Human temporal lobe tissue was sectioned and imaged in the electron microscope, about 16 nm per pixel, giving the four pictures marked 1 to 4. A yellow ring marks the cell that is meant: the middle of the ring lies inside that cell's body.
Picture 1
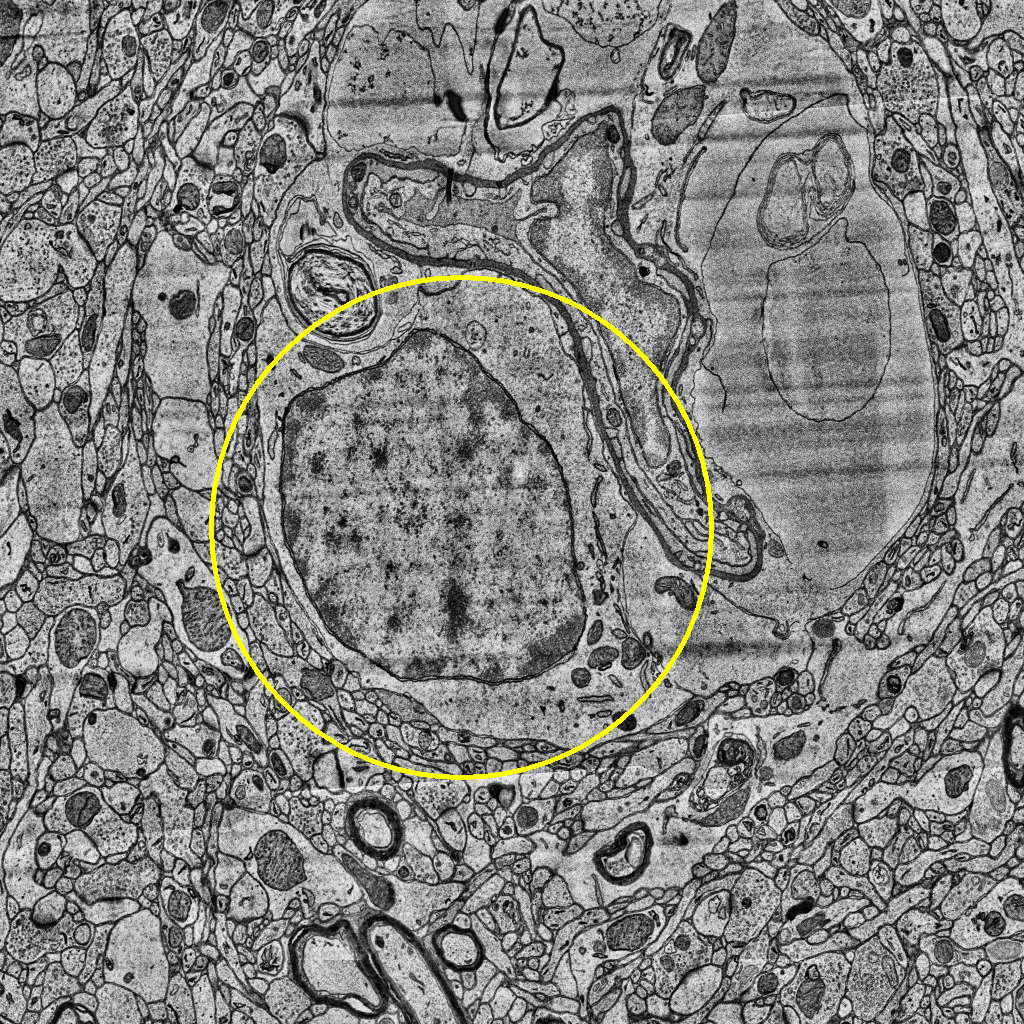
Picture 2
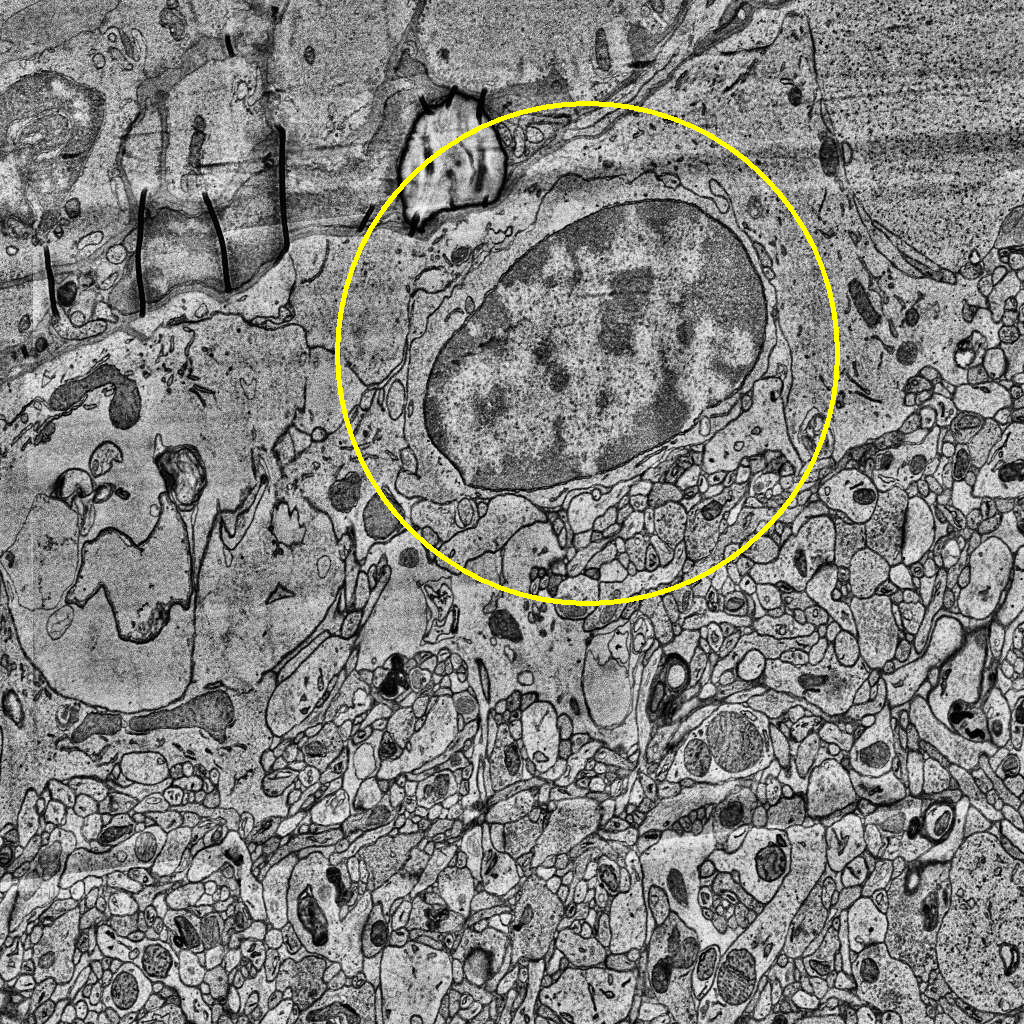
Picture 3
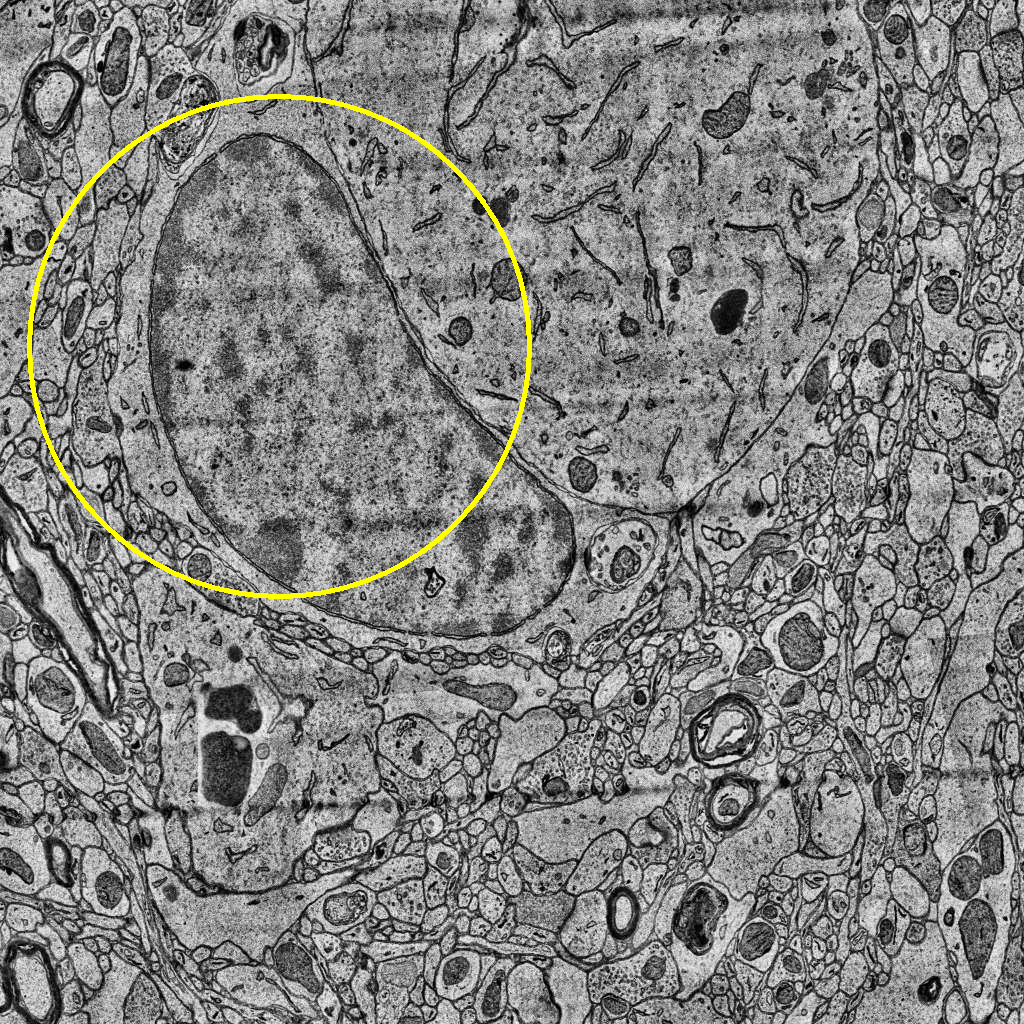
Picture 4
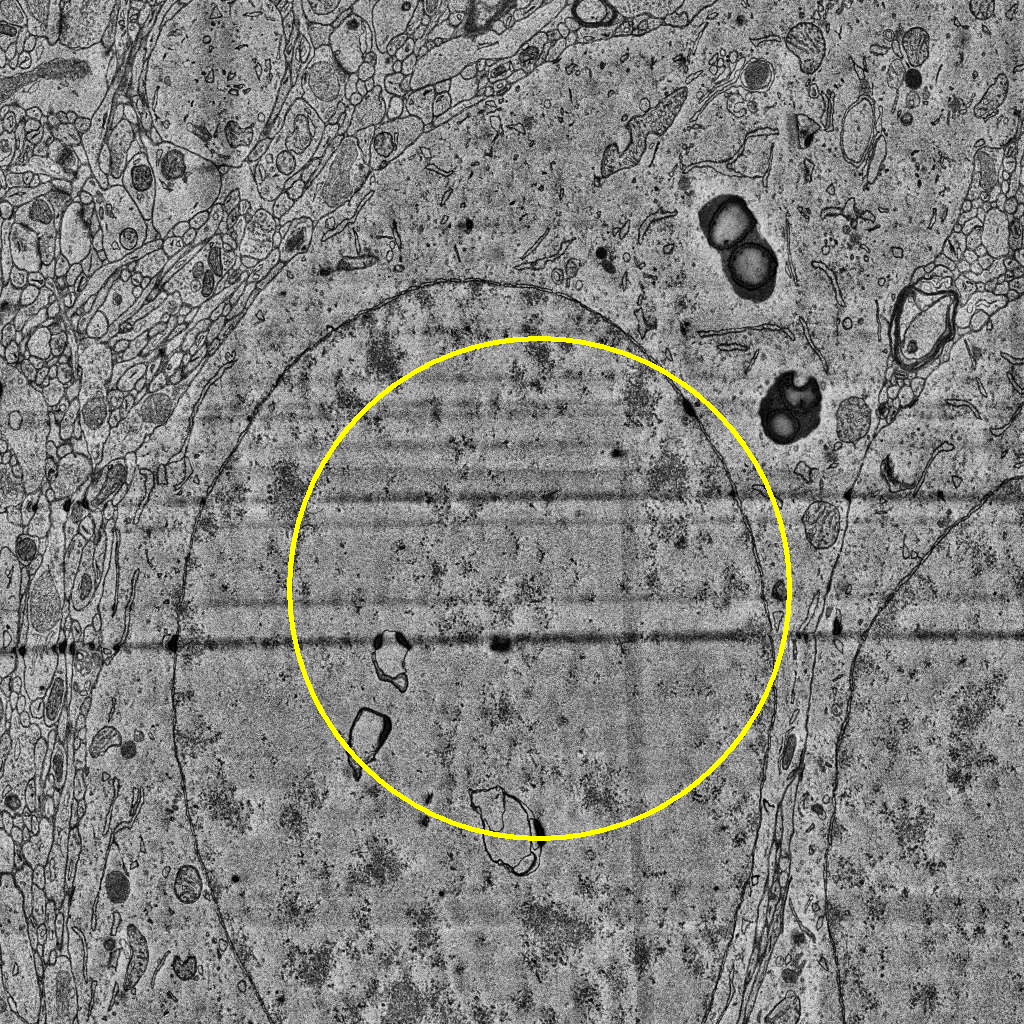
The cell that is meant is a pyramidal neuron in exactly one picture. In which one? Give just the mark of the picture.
4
